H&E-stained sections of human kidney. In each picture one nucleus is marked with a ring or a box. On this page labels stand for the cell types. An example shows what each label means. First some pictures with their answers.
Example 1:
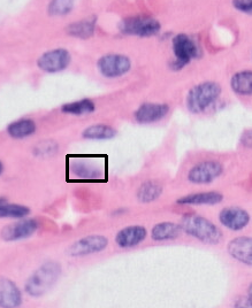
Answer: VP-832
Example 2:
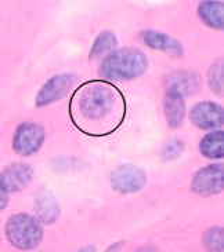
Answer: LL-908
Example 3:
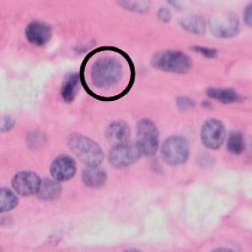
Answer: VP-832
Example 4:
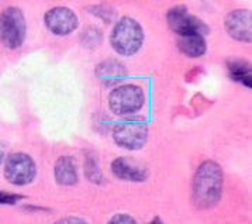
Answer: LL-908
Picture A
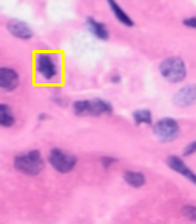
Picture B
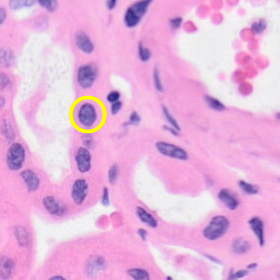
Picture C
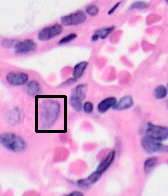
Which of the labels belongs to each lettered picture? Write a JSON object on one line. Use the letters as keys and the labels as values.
{"A": "VP-832", "B": "LL-908", "C": "LL-908"}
